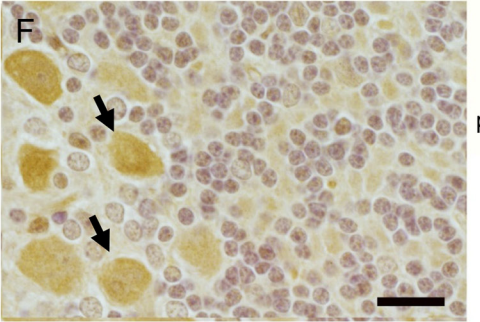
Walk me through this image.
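This section of cerebellar cortex shows large Purkinje cells lying beside the densely packed granule cell layer. The Purkinje cell bodies, at the left, are big oval to pear-shaped cells whose cytoplasm is evenly stained brown, several times the size of the neighbouring cells. They sit in a loose row along the margin of the granule cell layer. The granule cells are small, round and tightly packed, showing mostly blue-purple nuclei with little visible cytoplasm. A faint light brown tint lies in the spaces between the cells.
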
